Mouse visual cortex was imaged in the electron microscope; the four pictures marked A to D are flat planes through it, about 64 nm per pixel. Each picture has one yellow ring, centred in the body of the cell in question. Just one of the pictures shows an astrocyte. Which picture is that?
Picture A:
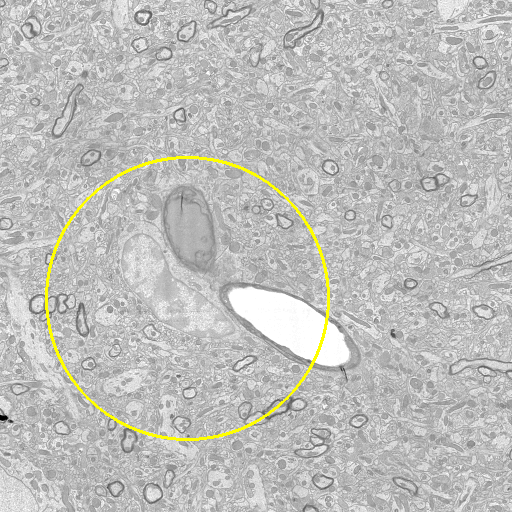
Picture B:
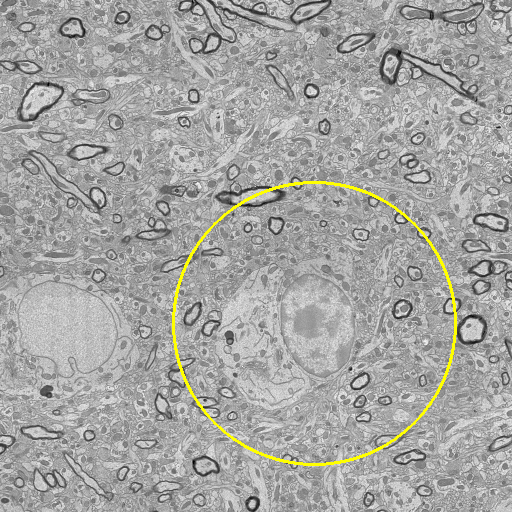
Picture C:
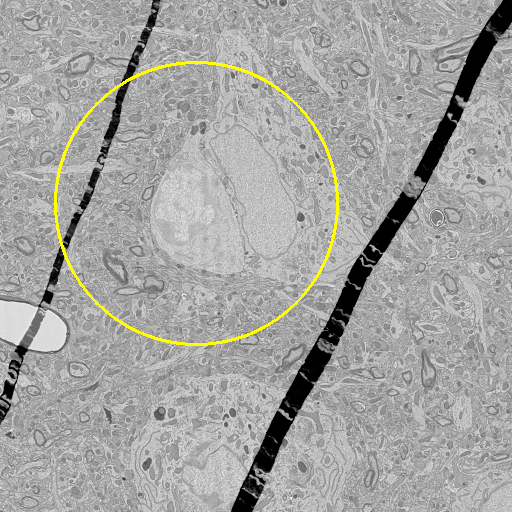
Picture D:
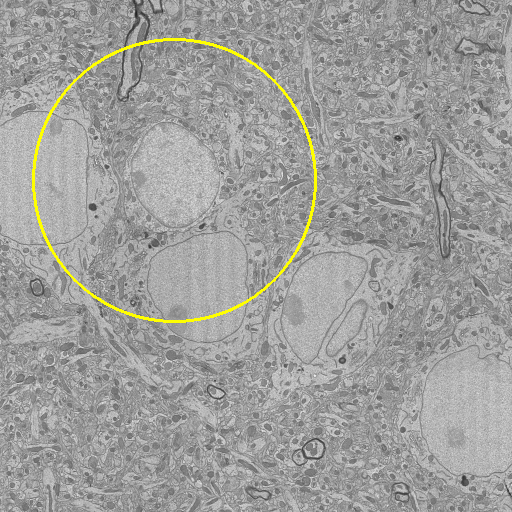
The picture with the astrocyte is D.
